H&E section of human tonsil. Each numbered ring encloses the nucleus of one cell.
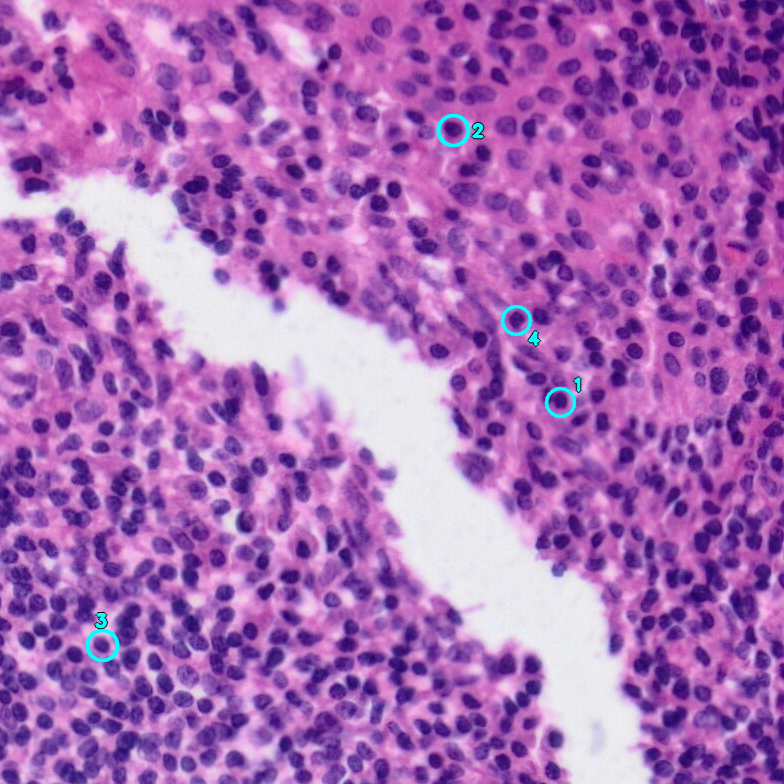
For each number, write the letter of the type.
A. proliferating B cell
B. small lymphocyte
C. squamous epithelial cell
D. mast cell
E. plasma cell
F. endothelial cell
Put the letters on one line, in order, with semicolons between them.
E; E; B; E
